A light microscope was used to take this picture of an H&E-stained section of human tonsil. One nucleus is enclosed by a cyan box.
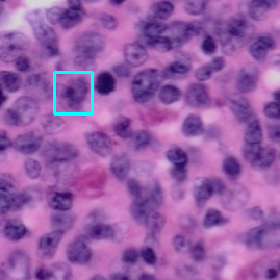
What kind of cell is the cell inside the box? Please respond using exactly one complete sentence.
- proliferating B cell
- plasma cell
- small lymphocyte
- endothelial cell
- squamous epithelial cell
What the cell inside the box represents is a proliferating B cell.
